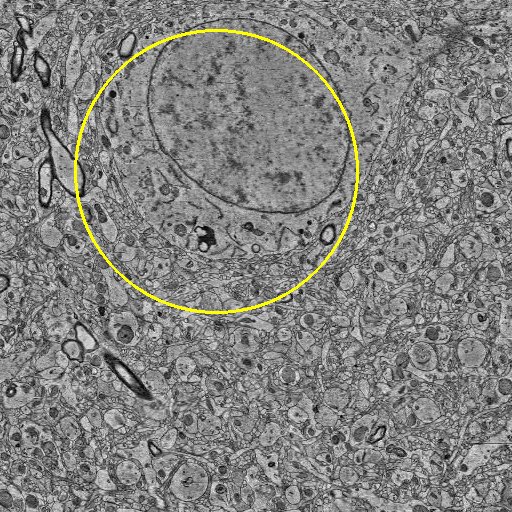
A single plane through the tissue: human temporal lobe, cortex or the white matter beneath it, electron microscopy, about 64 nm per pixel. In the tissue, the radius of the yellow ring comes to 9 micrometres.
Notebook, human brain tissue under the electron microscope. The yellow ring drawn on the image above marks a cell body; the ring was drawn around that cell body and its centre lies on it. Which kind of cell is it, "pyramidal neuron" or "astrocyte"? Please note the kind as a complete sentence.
The marked cell body is that of a pyramidal neuron.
